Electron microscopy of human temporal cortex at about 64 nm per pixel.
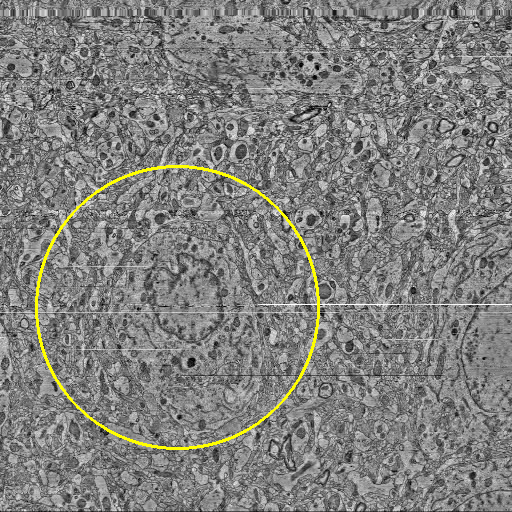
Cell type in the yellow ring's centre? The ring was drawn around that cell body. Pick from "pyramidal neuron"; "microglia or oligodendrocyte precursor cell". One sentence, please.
The ringed cell body is that of a pyramidal neuron.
